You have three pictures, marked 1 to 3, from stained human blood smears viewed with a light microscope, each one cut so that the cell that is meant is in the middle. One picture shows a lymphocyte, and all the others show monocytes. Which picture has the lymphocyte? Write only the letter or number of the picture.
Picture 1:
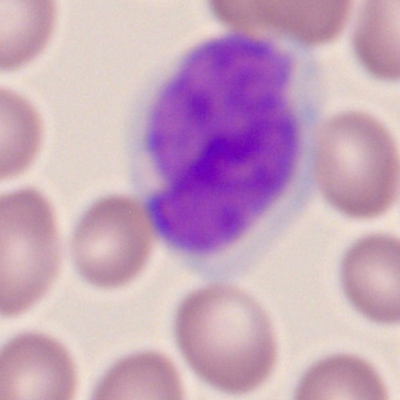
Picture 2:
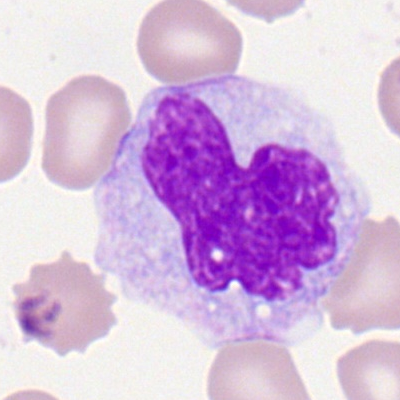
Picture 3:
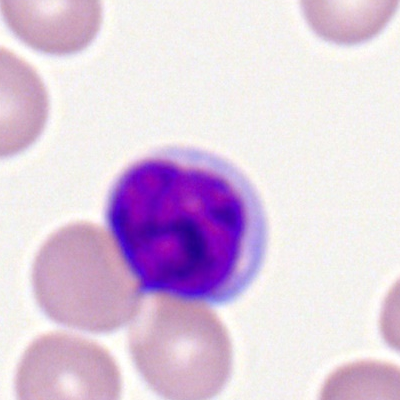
3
